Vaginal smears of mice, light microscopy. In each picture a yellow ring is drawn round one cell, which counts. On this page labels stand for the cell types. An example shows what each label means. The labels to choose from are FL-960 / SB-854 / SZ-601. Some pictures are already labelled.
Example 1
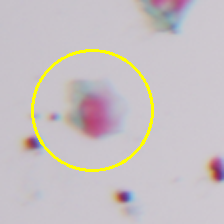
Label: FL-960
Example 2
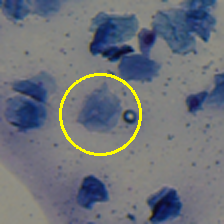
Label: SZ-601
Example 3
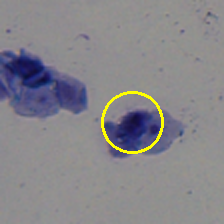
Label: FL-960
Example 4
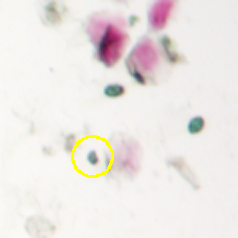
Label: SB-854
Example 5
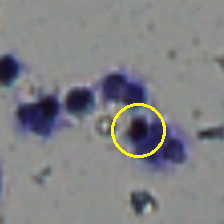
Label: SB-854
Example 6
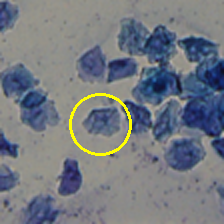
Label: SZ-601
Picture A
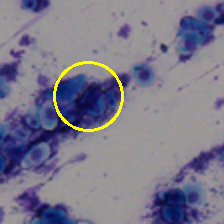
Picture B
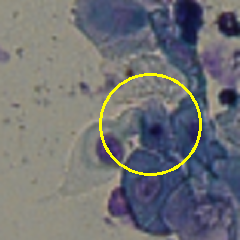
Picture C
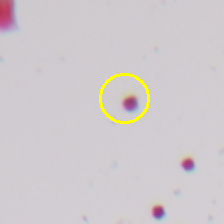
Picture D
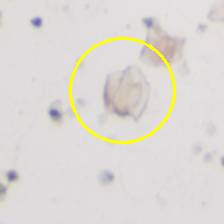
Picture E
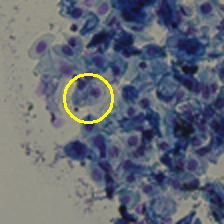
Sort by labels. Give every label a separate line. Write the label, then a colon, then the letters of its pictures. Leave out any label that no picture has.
FL-960: A, B, E
SB-854: C
SZ-601: D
